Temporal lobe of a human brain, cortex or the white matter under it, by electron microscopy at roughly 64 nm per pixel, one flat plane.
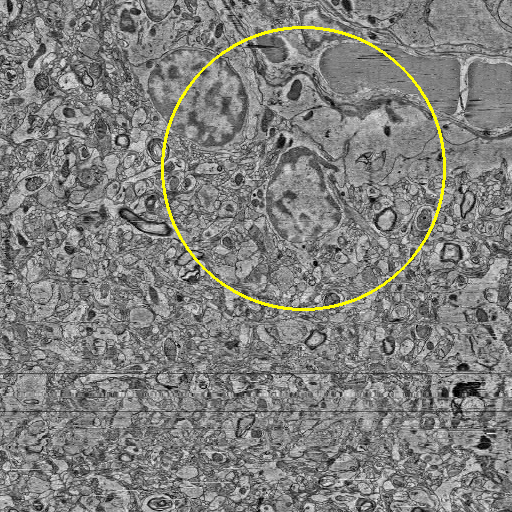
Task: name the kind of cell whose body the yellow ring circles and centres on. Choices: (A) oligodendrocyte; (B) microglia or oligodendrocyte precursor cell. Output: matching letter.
B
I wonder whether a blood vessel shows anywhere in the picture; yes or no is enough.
Yes.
